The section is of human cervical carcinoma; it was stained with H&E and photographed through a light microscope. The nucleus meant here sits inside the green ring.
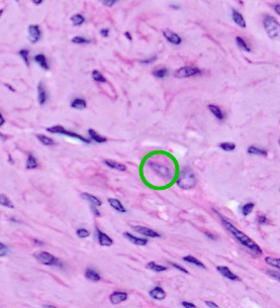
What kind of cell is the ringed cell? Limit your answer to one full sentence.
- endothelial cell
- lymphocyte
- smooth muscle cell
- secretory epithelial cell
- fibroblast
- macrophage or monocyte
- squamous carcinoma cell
Labelled by cell type, the ringed cell is an endothelial cell.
